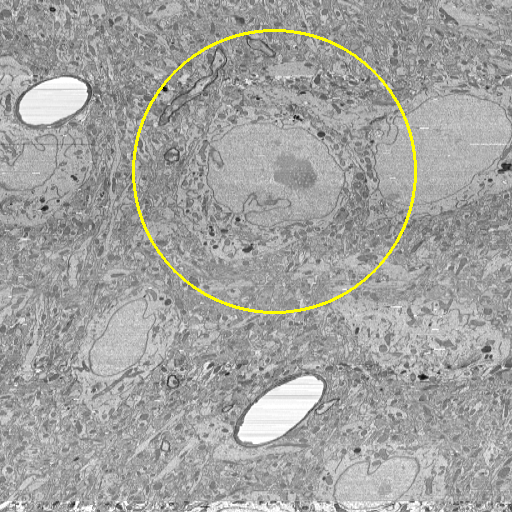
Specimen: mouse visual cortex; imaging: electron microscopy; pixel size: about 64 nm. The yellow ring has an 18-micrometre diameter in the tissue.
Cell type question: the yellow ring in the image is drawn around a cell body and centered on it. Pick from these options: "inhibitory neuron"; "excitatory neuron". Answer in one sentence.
The ringed cell at the center is an inhibitory neuron.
